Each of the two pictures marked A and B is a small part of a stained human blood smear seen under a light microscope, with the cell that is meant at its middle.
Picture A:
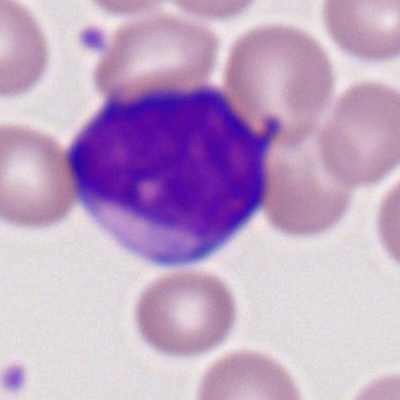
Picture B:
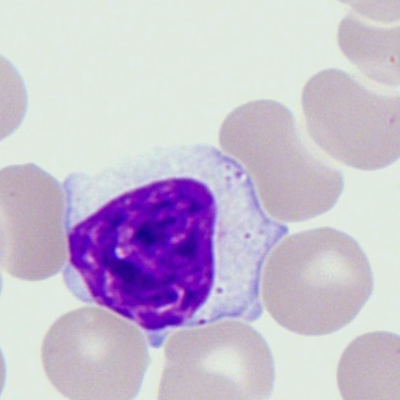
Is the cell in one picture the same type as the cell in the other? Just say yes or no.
no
